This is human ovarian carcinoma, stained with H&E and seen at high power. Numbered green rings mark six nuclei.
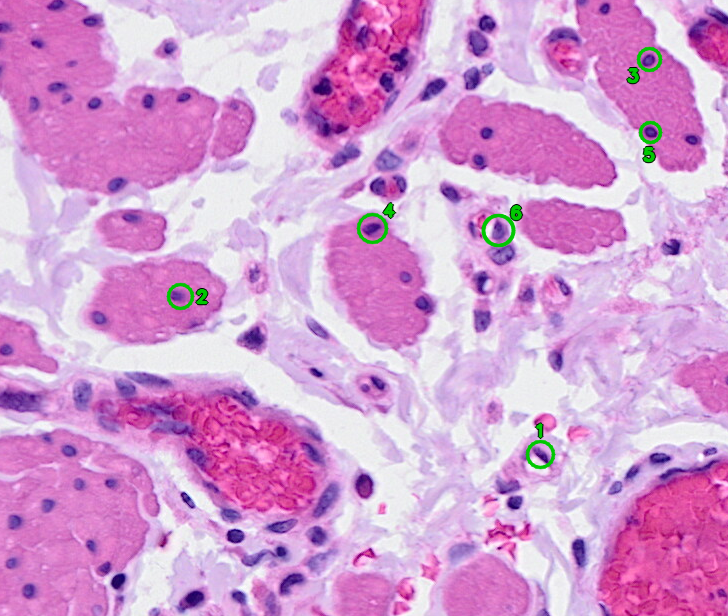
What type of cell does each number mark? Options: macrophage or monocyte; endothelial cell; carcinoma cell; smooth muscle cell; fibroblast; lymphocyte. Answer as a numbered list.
1. endothelial cell
2. smooth muscle cell
3. smooth muscle cell
4. smooth muscle cell
5. smooth muscle cell
6. endothelial cell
